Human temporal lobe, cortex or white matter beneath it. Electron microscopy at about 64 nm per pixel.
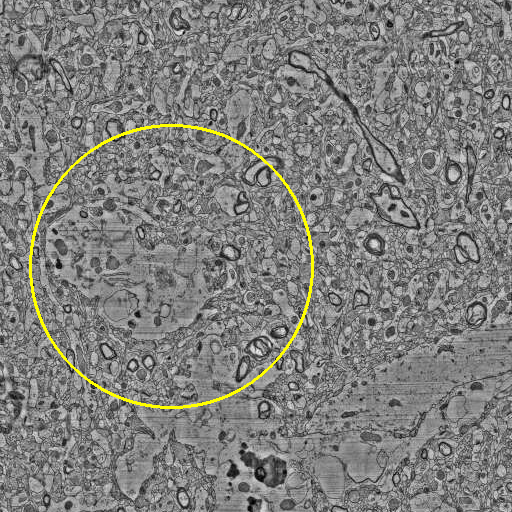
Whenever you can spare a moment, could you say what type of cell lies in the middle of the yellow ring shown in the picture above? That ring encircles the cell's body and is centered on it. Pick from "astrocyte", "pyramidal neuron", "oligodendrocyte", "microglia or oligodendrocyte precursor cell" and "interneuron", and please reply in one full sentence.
The cell whose body sits at the middle of the yellow ring is an astrocyte.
